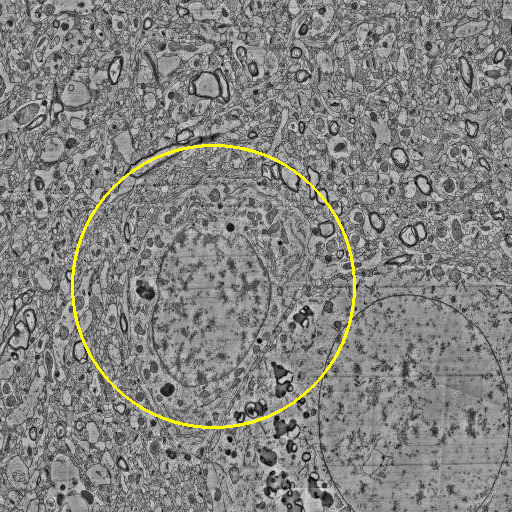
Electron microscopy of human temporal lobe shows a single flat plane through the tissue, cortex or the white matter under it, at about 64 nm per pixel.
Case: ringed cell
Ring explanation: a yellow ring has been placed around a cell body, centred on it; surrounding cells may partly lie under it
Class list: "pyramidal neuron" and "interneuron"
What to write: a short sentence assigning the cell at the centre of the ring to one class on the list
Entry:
The cell at the ring's centre is an interneuron.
